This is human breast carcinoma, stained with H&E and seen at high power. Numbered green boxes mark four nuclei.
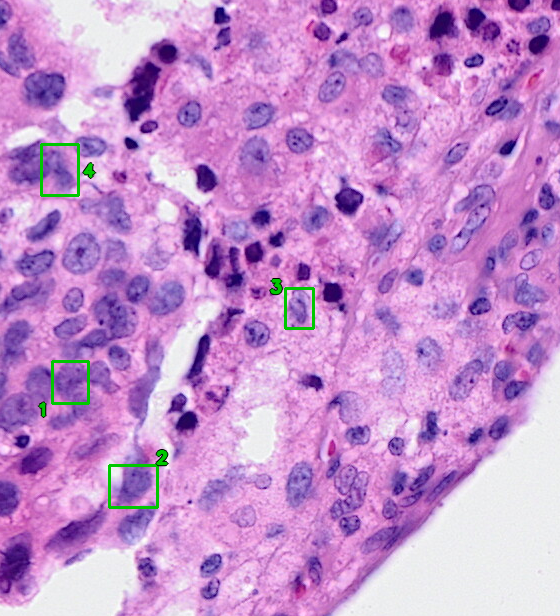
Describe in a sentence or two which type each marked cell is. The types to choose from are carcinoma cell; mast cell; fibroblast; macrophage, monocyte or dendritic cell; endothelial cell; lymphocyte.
Cell 1 is a carcinoma cell, cell 2 is a carcinoma cell, cell 3 is a macrophage, monocyte or dendritic cell and cell 4 is a carcinoma cell.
